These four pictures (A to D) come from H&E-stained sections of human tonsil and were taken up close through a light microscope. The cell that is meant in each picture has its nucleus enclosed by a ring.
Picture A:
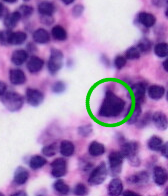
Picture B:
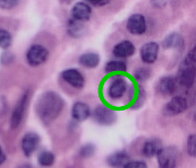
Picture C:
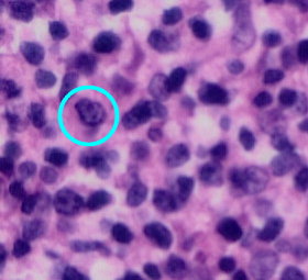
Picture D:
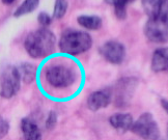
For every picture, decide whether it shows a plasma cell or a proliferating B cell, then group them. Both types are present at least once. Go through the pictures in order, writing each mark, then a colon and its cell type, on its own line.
A: proliferating B cell
B: plasma cell
C: proliferating B cell
D: proliferating B cell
